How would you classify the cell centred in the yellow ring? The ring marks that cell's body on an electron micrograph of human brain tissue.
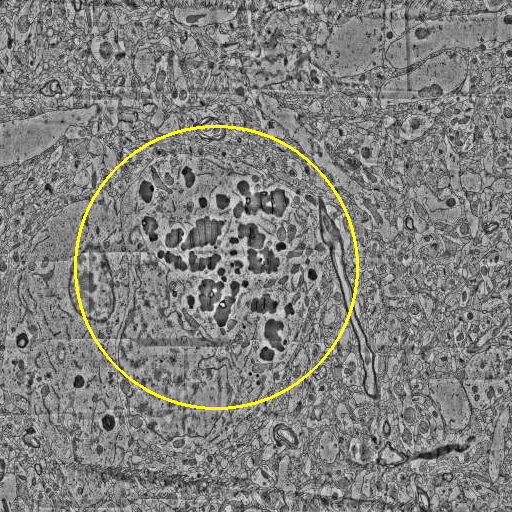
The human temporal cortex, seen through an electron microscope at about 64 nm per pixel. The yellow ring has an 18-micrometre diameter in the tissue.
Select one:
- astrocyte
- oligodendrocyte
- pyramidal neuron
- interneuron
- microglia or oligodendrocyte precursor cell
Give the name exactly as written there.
interneuron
